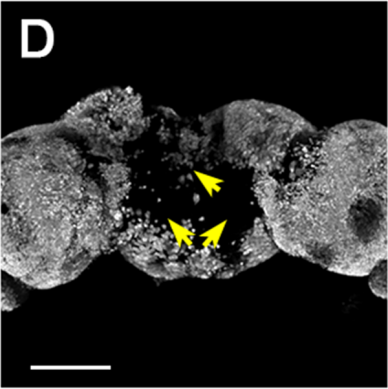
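This is a whole-mount projection of an adult fly brain with optic lobes at both sides and the central brain in the middle. The optic lobes and outer parts show granular bright labelling, but the centre of the central brain is largely dark. Only scattered single bright round cell bodies lie in the central region, rather than dense clusters around the neuropil. The overall outline of the central brain appears less distinctly organised, with the dark central area broad and poorly bordered by labelled cells.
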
